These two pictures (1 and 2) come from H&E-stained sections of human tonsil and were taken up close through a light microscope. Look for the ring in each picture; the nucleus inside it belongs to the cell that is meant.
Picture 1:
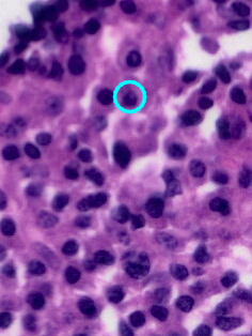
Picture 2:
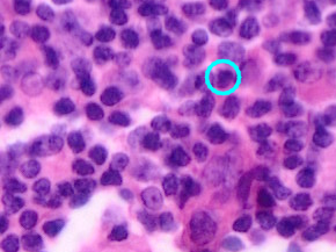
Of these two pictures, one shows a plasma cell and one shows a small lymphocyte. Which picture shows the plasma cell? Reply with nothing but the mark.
1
